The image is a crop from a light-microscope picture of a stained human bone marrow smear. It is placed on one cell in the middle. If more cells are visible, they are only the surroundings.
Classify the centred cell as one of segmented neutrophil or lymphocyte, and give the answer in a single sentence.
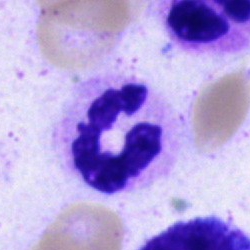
Looking at the middle of the crop, the cell there is a segmented neutrophil.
